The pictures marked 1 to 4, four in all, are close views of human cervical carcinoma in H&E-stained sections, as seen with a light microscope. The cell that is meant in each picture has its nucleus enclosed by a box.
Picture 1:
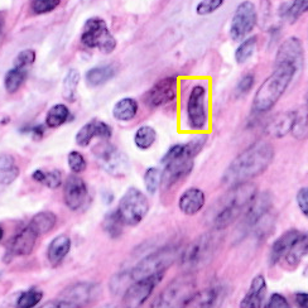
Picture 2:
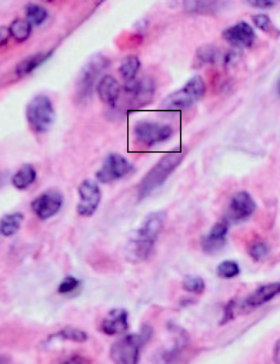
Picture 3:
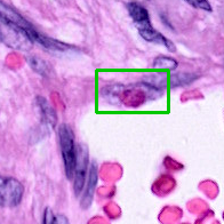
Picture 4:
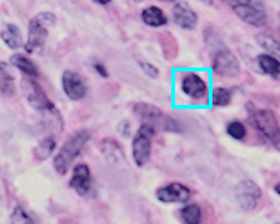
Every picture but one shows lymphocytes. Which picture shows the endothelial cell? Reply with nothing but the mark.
3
